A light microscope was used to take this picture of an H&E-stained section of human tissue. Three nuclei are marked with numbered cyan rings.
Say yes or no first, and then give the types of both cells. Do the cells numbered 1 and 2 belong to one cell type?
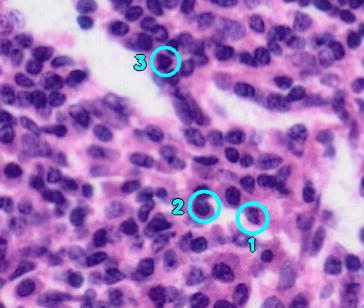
Yes, cell 1 and likewise cell 2 are plasma cells.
